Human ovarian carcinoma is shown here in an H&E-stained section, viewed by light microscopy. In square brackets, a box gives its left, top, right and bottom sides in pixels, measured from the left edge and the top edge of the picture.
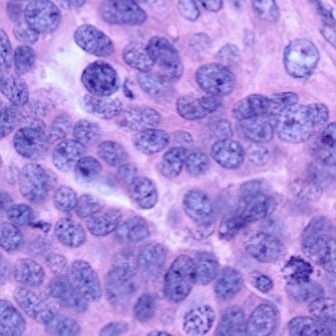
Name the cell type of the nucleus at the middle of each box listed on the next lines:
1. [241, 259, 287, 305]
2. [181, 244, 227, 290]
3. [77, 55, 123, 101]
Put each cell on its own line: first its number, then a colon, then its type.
1: macrophage or monocyte
2: carcinoma cell
3: carcinoma cell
